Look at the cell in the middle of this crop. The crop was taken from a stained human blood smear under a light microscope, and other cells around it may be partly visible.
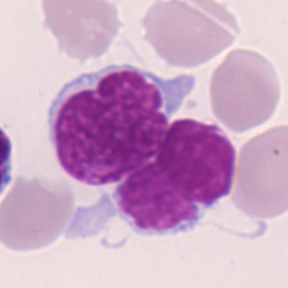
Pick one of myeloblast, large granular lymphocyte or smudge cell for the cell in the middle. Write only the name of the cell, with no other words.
myeloblast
